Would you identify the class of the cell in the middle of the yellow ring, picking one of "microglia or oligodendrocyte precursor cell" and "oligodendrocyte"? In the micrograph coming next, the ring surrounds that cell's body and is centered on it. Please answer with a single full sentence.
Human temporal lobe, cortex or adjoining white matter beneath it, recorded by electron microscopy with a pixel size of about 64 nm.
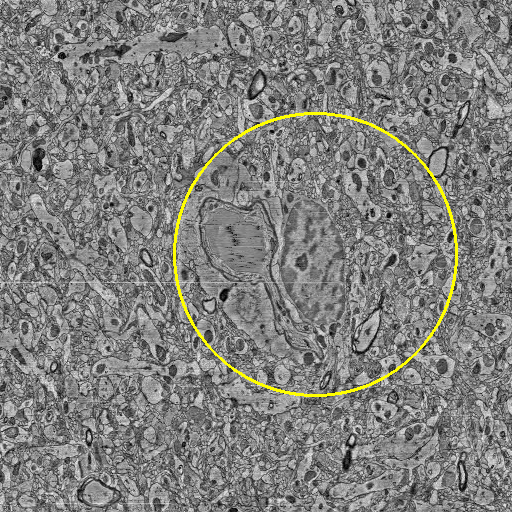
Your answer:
In the micrograph, it is an oligodendrocyte whose body lies at the ring's center.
